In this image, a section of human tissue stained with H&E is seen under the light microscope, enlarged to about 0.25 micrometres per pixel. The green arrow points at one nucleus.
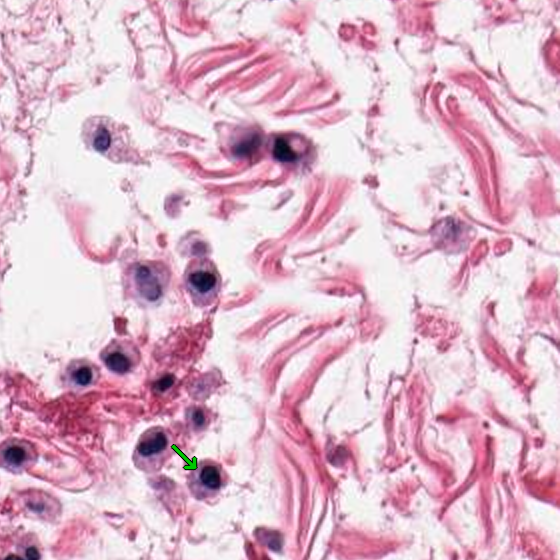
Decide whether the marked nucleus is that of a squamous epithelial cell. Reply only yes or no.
no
